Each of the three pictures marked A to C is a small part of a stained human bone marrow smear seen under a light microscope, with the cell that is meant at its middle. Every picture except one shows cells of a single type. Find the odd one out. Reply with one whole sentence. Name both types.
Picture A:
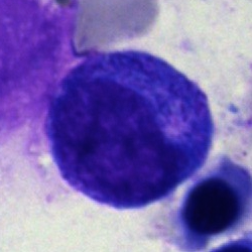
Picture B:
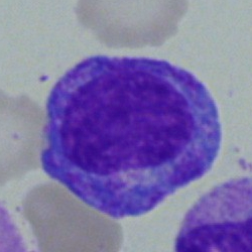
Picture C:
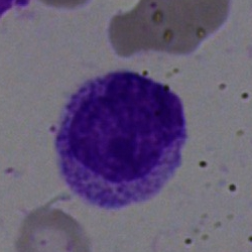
The others show promyelocytes, but picture C shows a myelocyte.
